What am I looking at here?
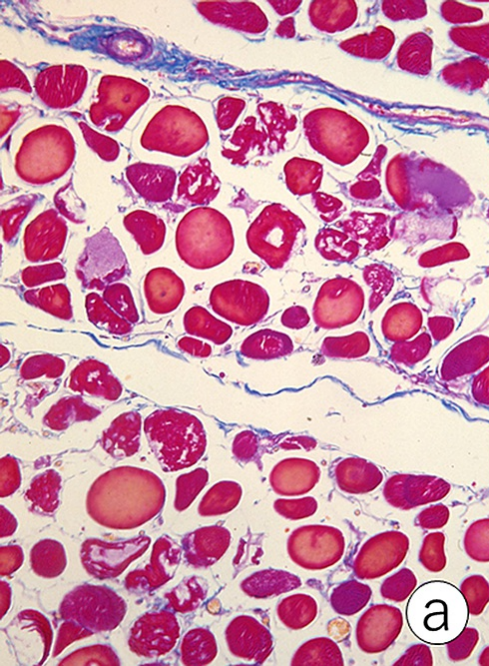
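Skeletal muscle is cut across, its fibers grouped into fascicles separated by thin septa of blue-stained connective tissue, one holding a small vessel. The fibers stain red to orange, but unevenly: some are round and homogeneous, whereas many others are mottled, fragmented into clumps, hollowed centrally, or replaced by pale purplish material. Spaces between fibers are widened, with only sparse cells among them. The mixture of intact and internally broken-down fibers points to disintegration of muscle fibers without a marked inflammatory infiltrate.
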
